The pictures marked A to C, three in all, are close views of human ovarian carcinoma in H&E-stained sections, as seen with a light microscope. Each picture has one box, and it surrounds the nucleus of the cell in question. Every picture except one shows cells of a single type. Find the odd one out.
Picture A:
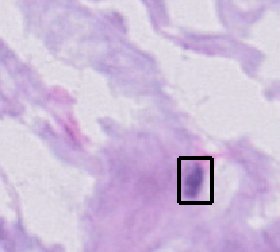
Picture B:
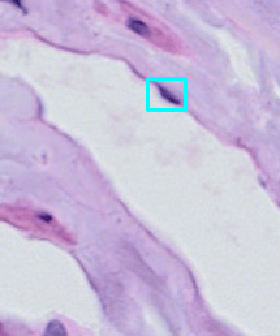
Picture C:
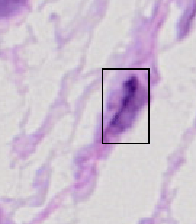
B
